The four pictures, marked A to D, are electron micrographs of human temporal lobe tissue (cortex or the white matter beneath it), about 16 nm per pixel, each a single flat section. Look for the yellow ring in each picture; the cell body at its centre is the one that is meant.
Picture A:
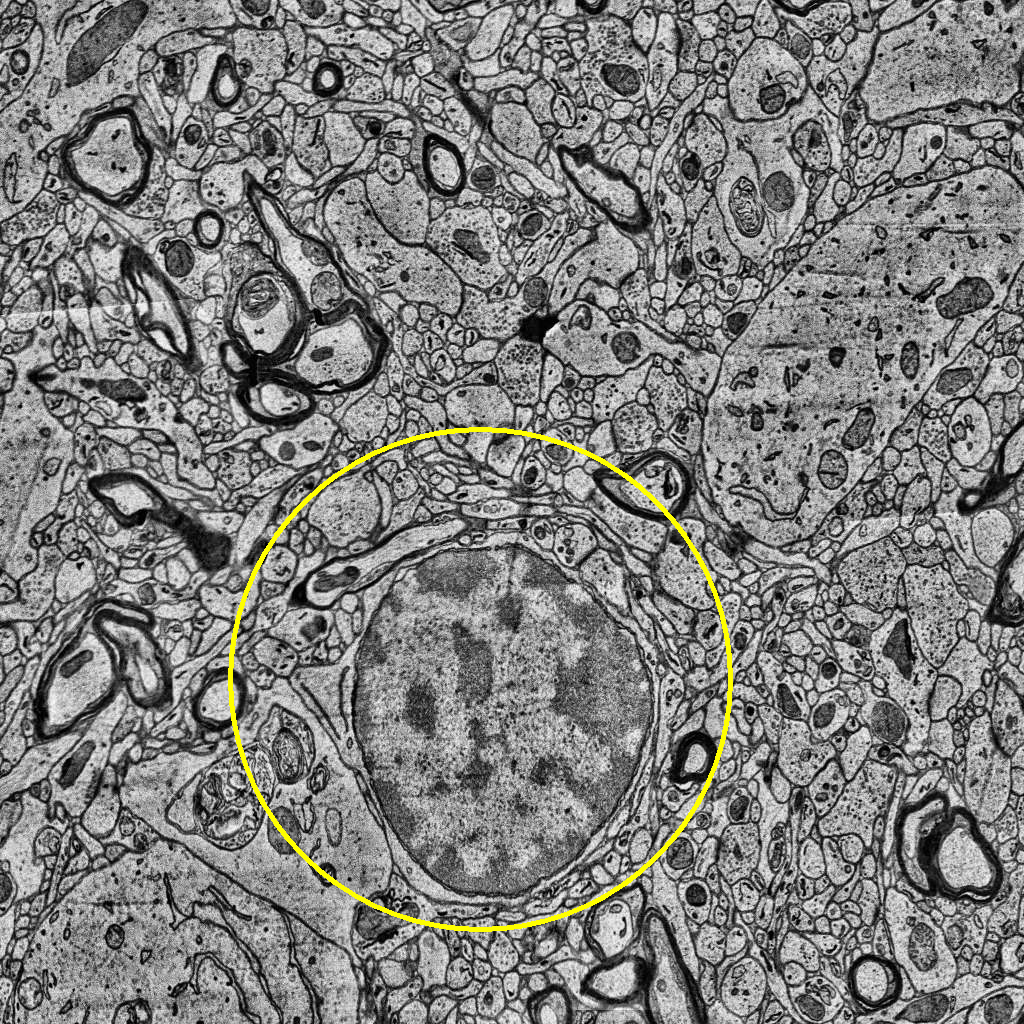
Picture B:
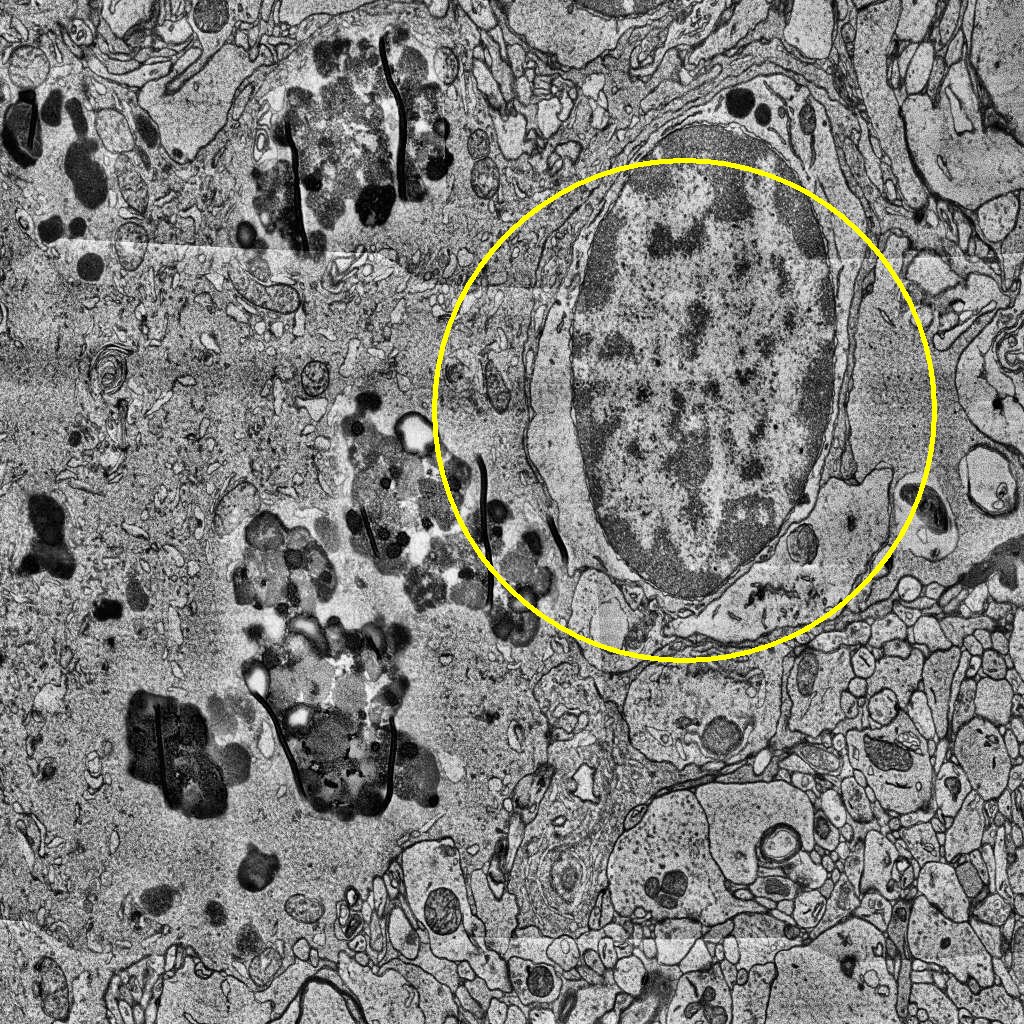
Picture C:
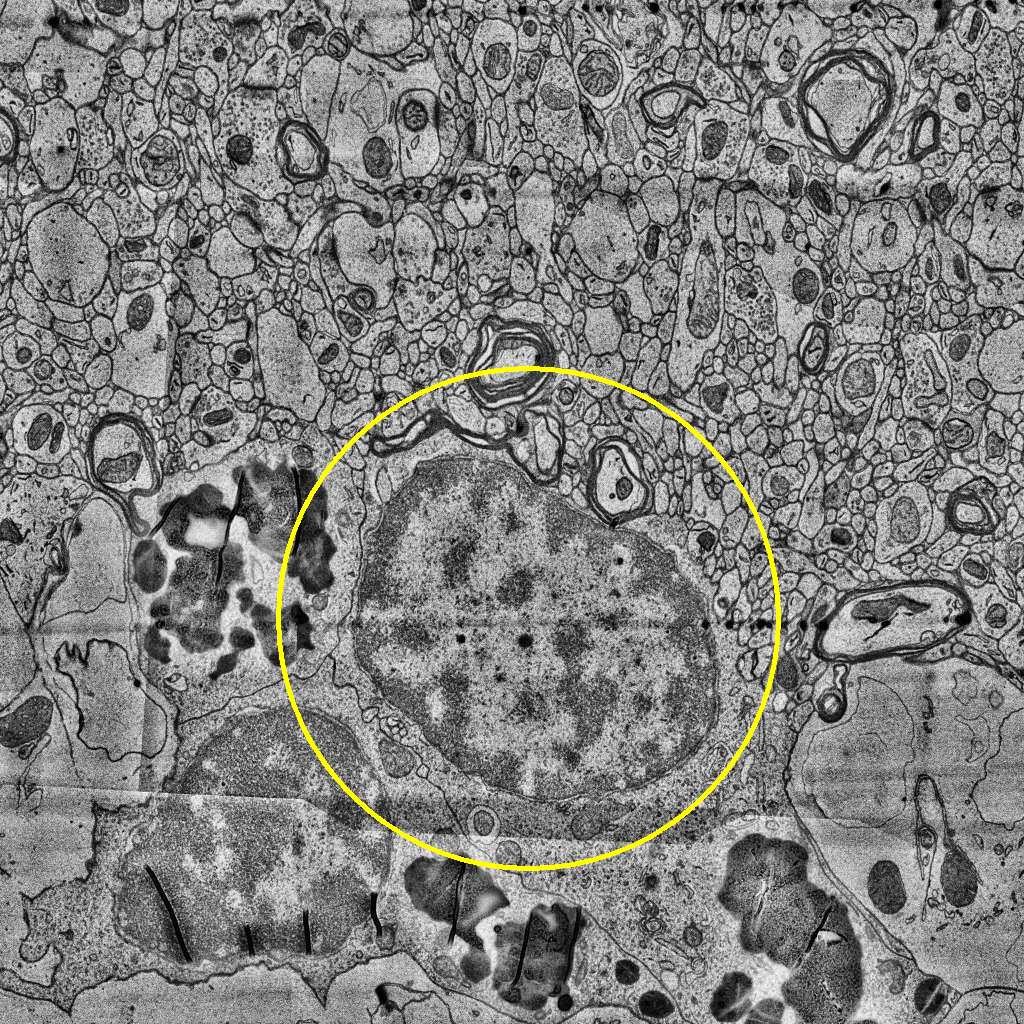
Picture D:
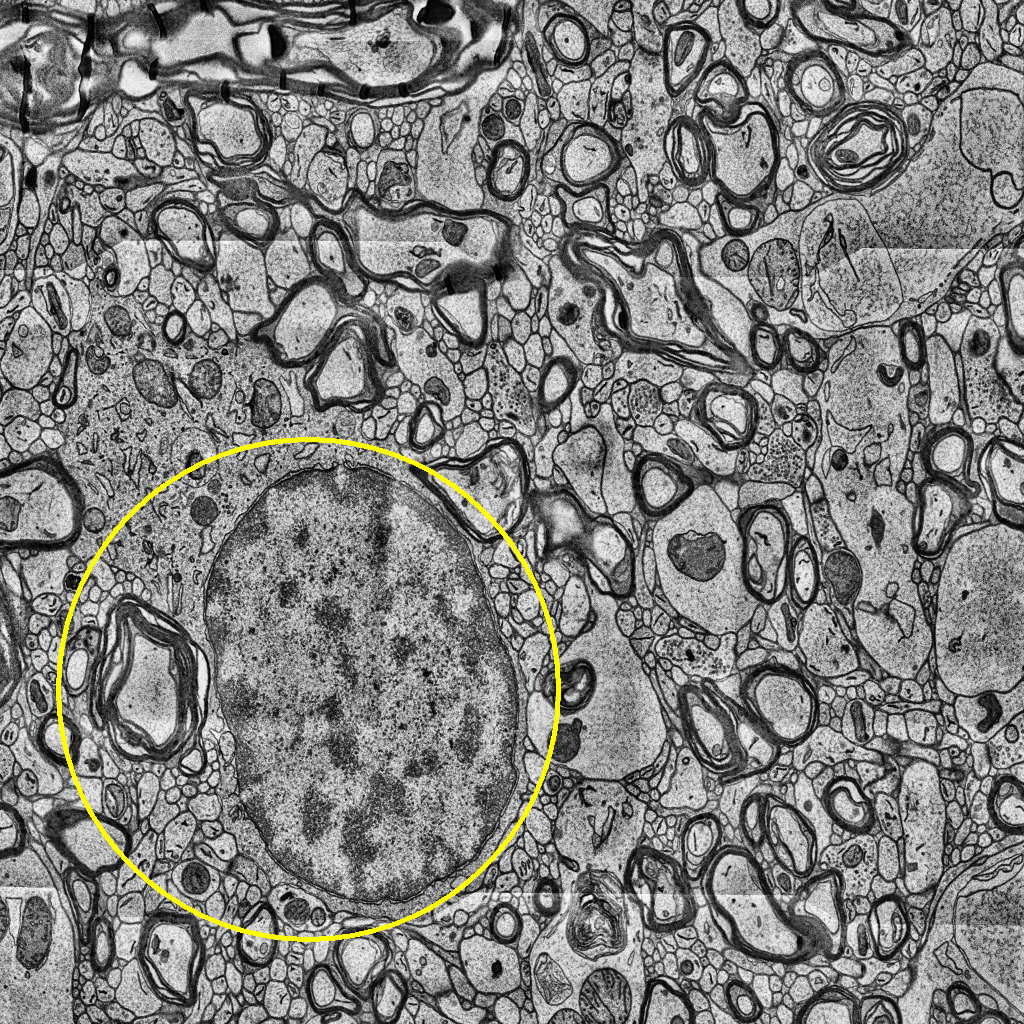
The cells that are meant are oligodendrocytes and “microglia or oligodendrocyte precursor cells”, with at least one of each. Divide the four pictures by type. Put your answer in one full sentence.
Pictures C and D show oligodendrocytes, while pictures A and B show “microglia or oligodendrocyte precursor cells”.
